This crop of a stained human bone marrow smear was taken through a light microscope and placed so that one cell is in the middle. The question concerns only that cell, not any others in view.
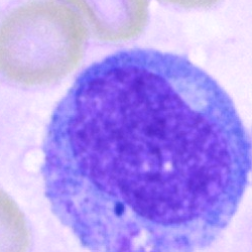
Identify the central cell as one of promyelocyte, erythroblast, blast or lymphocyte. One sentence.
The cell sitting right in the middle is a promyelocyte.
